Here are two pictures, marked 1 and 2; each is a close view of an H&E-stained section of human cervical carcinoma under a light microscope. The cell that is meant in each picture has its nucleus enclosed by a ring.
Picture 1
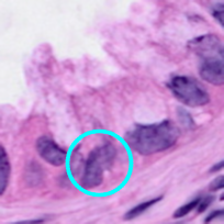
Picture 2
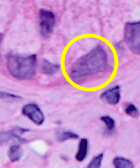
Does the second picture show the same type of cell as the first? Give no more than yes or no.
yes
